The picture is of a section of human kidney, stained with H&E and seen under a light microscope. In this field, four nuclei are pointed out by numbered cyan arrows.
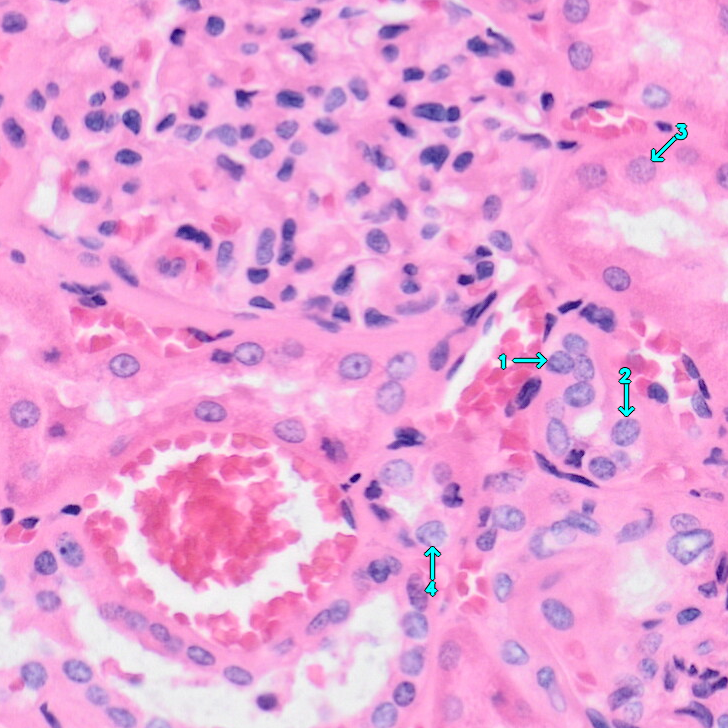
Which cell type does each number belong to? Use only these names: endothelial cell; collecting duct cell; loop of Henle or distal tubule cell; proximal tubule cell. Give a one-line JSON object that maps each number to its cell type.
{"1": "collecting duct cell", "2": "collecting duct cell", "3": "proximal tubule cell", "4": "collecting duct cell"}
